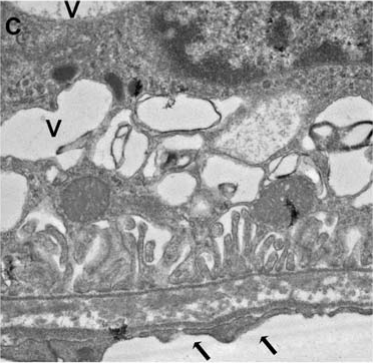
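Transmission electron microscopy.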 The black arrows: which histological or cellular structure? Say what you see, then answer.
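Choriocapillaris fenestrations. The arrows point at a thin endothelial wall lining a pale lumen at the bottom of the panel. The wall lies just beneath the layered band below the epithelium.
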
